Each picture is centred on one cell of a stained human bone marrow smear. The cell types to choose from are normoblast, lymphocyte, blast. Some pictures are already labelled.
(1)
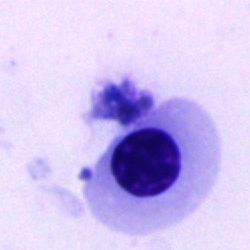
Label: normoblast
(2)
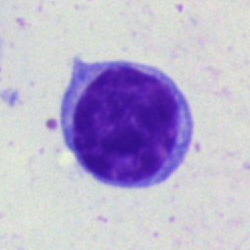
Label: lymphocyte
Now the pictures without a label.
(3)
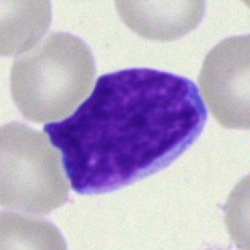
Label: blast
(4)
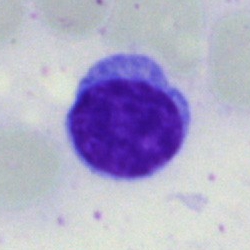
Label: lymphocyte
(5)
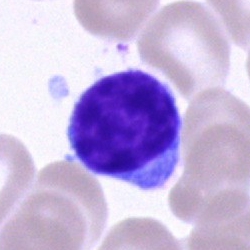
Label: lymphocyte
